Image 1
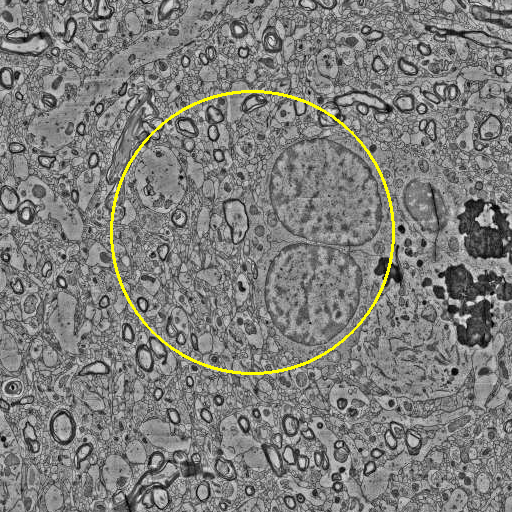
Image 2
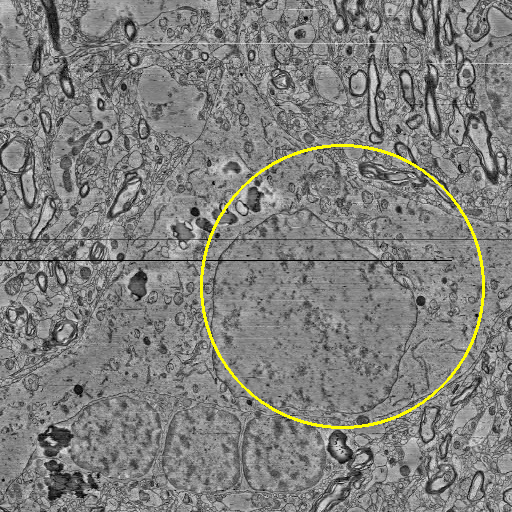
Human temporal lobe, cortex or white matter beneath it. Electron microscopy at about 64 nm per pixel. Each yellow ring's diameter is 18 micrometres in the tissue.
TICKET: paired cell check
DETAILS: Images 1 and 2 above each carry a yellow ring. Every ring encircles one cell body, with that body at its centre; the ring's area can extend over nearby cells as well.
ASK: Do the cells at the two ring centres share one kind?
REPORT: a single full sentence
No, the ring-centre cells of Images 1 and 2 belong to two kinds.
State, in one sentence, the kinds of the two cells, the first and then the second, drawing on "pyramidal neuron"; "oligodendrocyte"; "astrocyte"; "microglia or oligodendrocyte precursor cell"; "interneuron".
The ring in the second picture is centred on a pyramidal neuron, the ring in the first on an oligodendrocyte.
